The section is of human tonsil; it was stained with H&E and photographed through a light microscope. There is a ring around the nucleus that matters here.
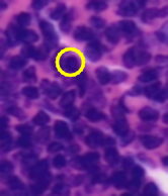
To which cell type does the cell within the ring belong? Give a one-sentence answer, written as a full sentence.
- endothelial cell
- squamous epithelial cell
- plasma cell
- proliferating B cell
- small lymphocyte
Typologically, the cell within the ring is a small lymphocyte in this section.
